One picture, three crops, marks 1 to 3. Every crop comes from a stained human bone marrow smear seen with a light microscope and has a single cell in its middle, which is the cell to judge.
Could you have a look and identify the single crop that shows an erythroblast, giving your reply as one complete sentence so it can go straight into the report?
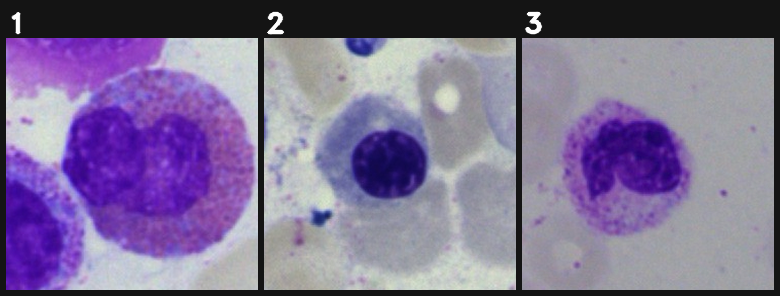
Of the crops given, an erythroblast is found in crop 2.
